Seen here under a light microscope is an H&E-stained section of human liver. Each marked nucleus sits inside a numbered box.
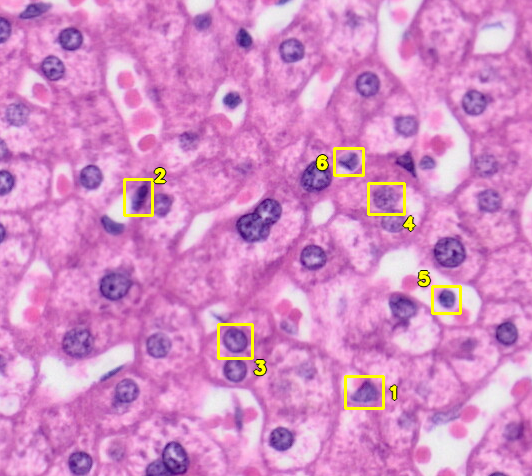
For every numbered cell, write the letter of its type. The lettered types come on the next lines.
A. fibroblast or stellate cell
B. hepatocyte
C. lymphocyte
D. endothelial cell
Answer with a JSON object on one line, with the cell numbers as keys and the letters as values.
{"1": "D", "2": "A", "3": "B", "4": "B", "5": "C", "6": "D"}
